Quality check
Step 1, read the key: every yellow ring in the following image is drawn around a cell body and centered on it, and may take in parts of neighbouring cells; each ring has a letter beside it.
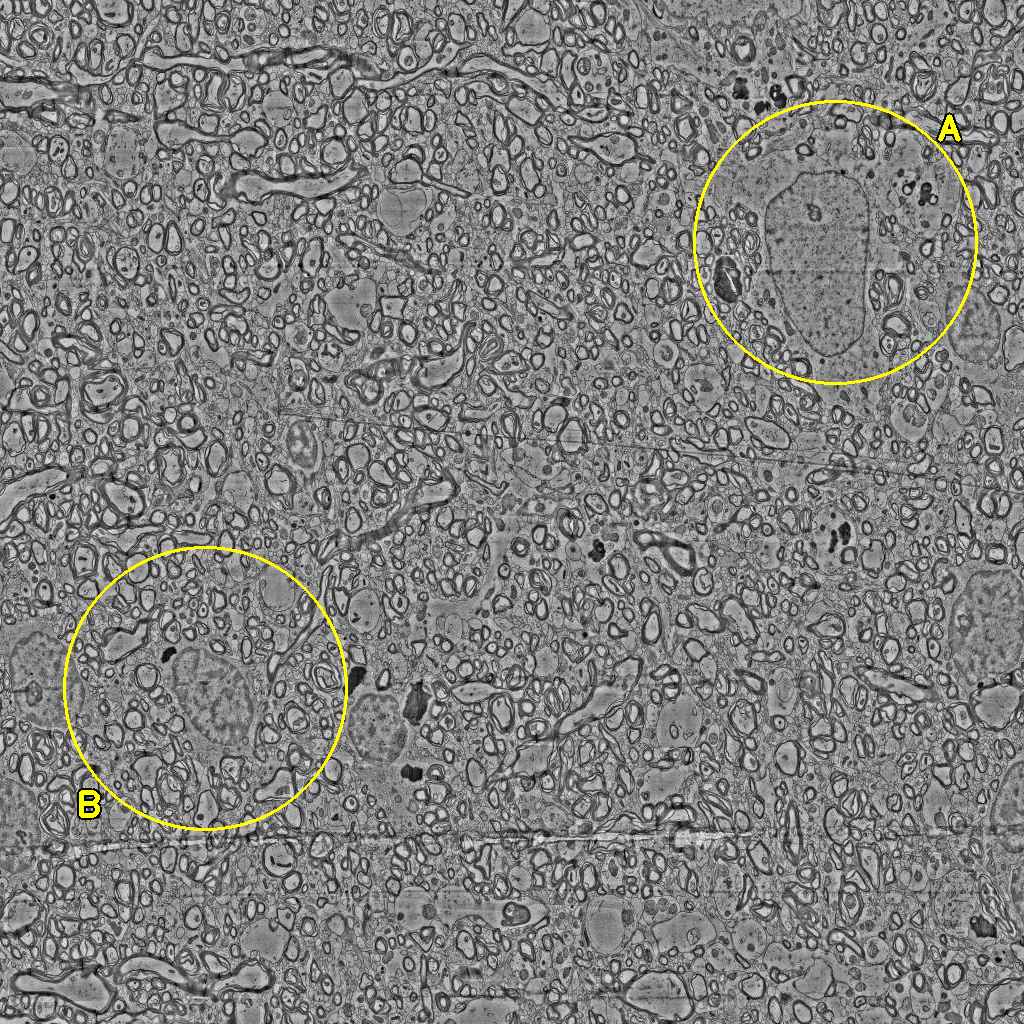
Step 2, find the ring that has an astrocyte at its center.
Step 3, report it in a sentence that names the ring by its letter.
Ring A is centered on that cell.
